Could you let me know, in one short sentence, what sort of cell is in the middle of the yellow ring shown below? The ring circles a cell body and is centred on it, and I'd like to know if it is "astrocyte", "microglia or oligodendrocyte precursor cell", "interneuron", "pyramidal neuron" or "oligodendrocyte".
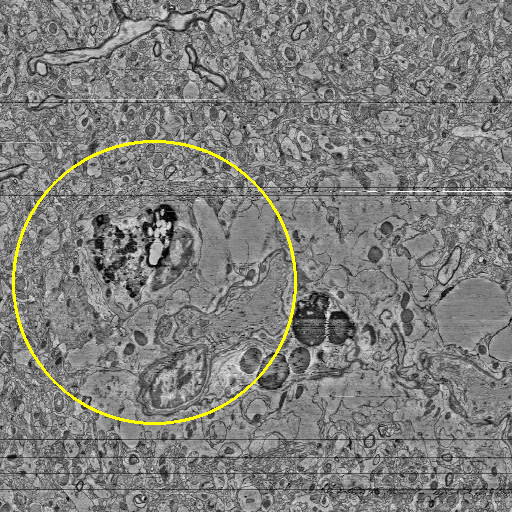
The ring circles the cell body of a microglial cell or oligodendrocyte precursor cell.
